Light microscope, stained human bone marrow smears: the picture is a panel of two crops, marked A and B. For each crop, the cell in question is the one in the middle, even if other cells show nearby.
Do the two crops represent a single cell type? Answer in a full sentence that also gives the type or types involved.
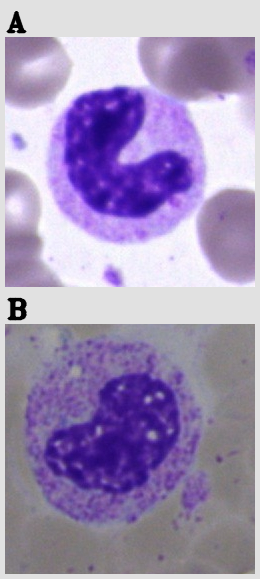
Yes, both crops show band neutrophils, each crop centred on one of them.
